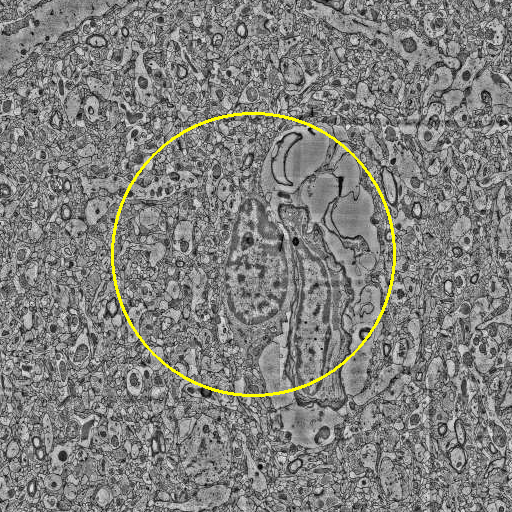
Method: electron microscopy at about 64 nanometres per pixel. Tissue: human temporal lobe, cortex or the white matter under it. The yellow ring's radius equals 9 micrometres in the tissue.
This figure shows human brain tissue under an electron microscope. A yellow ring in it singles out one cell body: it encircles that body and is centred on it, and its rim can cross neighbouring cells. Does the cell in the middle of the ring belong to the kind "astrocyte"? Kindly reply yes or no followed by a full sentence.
No, the cell centred in the figure's ring belongs to a different kind from the one asked.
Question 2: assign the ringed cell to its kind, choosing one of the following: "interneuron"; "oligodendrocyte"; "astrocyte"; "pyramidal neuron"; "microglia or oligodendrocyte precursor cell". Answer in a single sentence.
As it turns out, the cell at the ring centre is an oligodendrocyte.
